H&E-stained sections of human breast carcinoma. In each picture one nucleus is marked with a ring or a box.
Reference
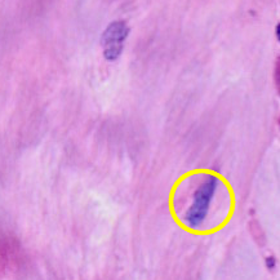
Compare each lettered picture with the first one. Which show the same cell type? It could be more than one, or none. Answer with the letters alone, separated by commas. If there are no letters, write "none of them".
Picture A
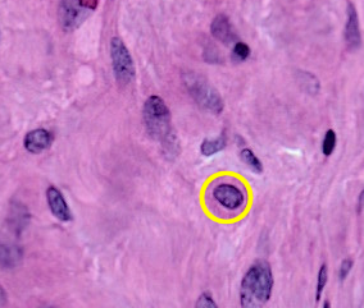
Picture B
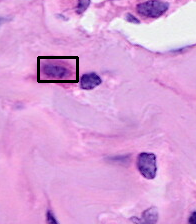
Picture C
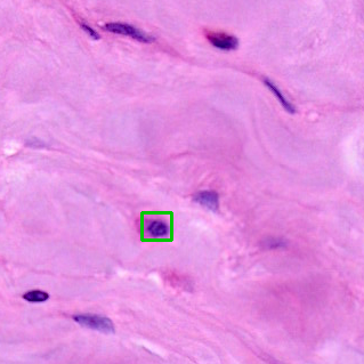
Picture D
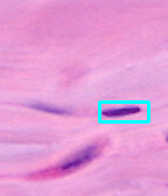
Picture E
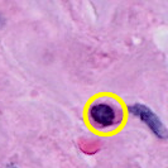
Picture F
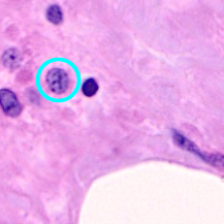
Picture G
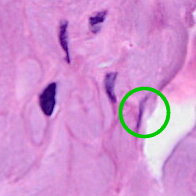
D, G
